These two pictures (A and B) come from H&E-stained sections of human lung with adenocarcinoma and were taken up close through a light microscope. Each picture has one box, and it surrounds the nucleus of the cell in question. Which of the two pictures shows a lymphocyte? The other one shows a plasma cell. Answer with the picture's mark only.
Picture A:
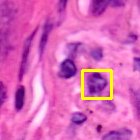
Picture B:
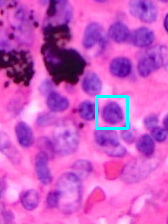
B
